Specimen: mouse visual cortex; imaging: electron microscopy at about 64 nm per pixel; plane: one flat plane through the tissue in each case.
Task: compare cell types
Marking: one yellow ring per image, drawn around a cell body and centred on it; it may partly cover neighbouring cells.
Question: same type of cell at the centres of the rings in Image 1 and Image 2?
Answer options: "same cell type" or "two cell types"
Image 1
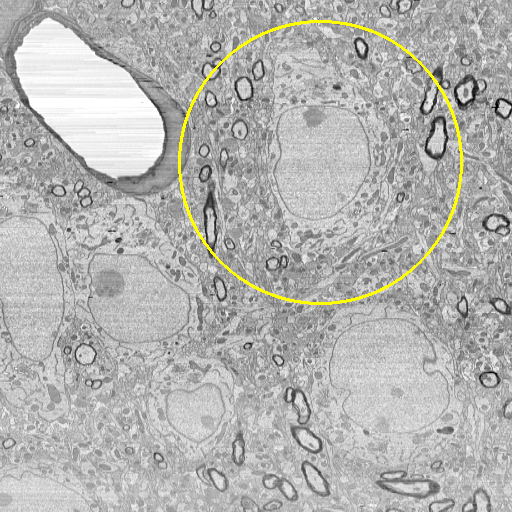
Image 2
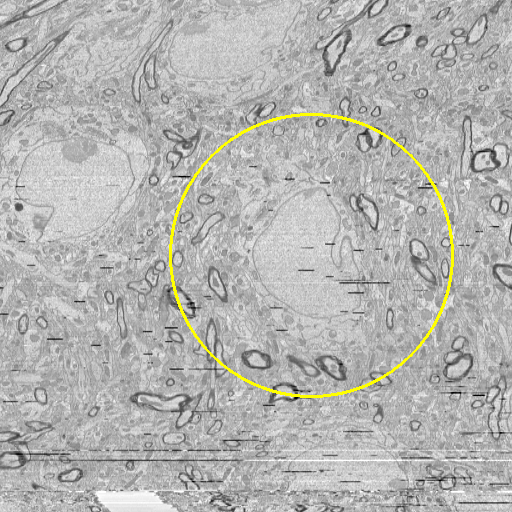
same cell type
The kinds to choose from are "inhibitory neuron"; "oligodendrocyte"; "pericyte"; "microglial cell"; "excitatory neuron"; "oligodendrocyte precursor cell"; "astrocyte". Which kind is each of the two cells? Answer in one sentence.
Each of the ringed cells, first and second, is an excitatory neuron.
